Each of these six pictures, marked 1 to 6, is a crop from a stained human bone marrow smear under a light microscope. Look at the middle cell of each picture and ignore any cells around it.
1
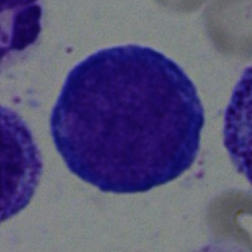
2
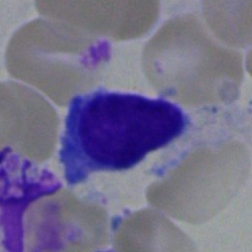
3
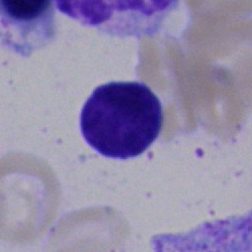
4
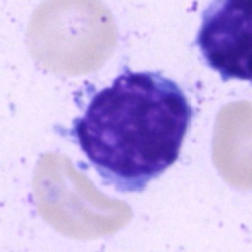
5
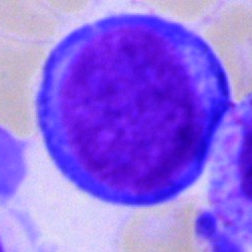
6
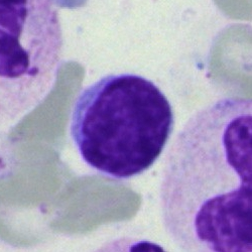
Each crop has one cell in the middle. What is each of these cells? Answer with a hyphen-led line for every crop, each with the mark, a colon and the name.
- 1: proerythroblast
- 2: lymphocyte
- 3: lymphocyte
- 4: lymphocyte
- 5: proerythroblast
- 6: lymphocyte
